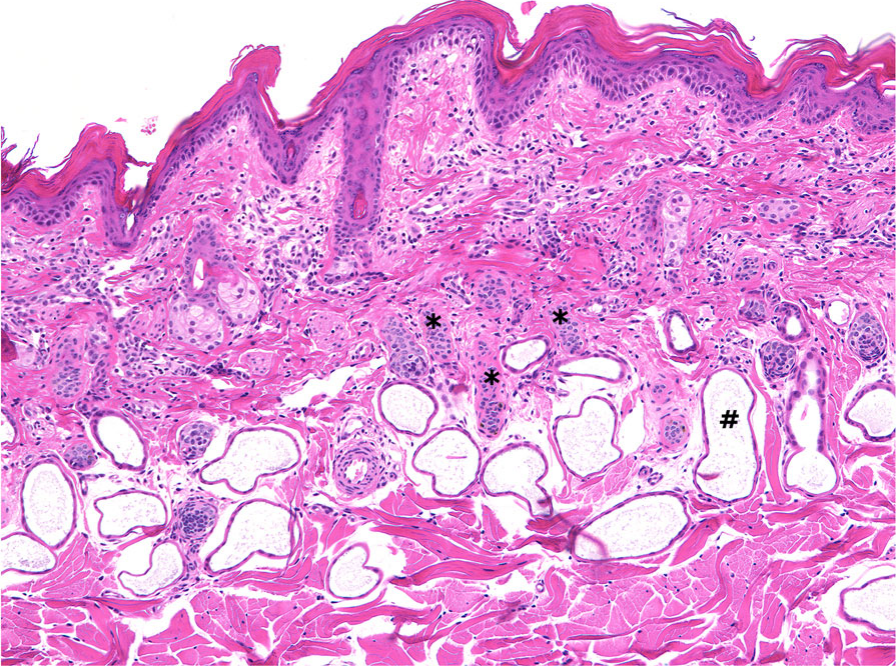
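This is a section of skin with epidermis at the top, covered by a thick band of compact, layered pink keratin without nuclei. In the dermis lie small clusters of follicular epithelium, and deeper down a row of wide, empty, thin-walled glandular lumina sits above pink bundles of skeletal muscle.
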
